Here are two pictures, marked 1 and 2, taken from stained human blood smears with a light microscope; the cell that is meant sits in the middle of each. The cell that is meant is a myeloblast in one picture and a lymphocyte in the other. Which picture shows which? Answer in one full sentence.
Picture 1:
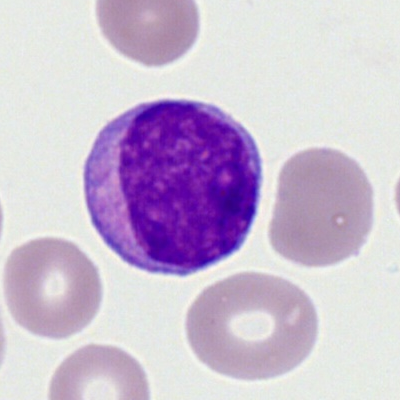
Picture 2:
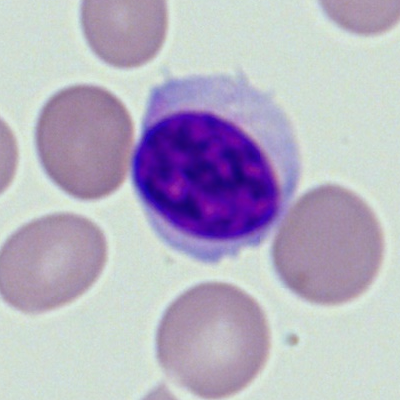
The cell in picture 1 is a myeloblast, and the one in picture 2 is a lymphocyte.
